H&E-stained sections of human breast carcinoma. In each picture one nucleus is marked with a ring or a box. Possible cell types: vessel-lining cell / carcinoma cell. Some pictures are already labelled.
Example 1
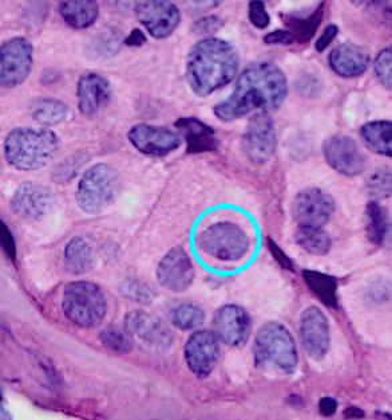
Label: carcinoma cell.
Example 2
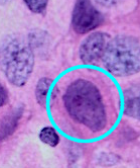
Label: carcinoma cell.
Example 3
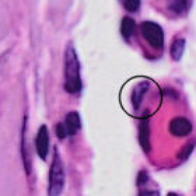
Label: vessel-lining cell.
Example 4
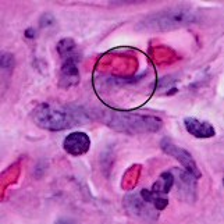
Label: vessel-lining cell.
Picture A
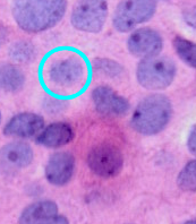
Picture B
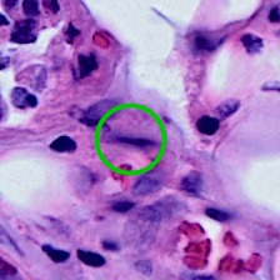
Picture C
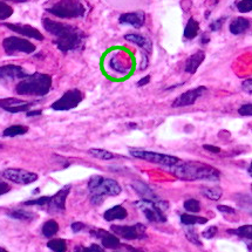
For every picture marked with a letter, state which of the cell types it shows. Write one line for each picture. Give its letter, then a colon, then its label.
A: carcinoma cell.
B: vessel-lining cell.
C: vessel-lining cell.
